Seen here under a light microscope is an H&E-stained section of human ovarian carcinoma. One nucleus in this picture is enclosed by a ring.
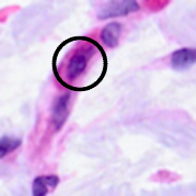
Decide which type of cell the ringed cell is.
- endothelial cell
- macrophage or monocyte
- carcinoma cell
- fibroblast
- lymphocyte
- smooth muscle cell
endothelial cell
